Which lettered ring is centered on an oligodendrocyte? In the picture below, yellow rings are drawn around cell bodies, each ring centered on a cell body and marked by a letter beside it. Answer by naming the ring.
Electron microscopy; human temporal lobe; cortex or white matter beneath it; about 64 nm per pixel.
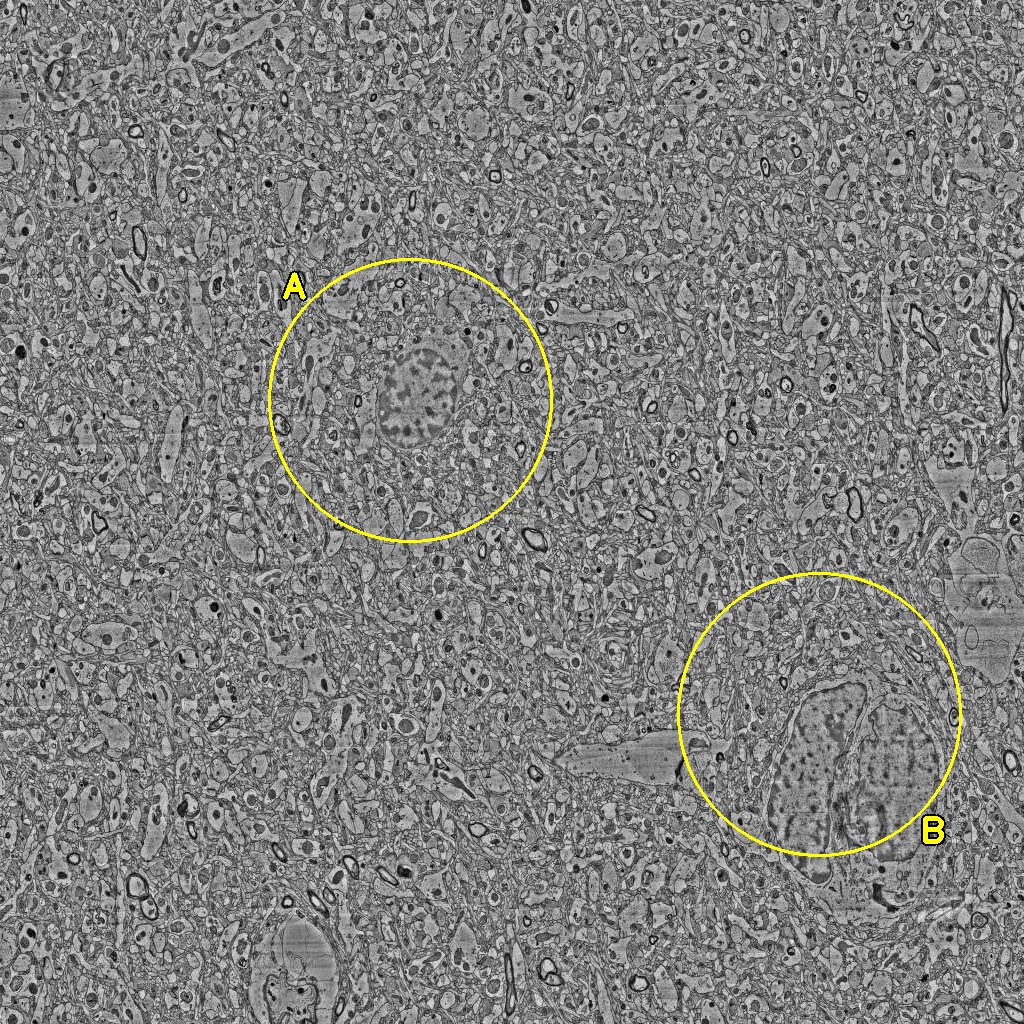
Ring A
